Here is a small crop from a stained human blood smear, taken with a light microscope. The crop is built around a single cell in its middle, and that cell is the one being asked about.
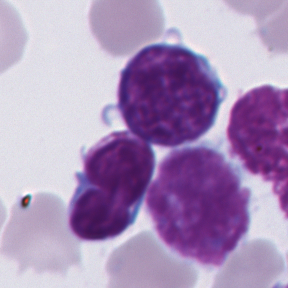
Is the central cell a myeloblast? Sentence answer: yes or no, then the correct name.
Yes, it is a myeloblast that lies in the middle.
